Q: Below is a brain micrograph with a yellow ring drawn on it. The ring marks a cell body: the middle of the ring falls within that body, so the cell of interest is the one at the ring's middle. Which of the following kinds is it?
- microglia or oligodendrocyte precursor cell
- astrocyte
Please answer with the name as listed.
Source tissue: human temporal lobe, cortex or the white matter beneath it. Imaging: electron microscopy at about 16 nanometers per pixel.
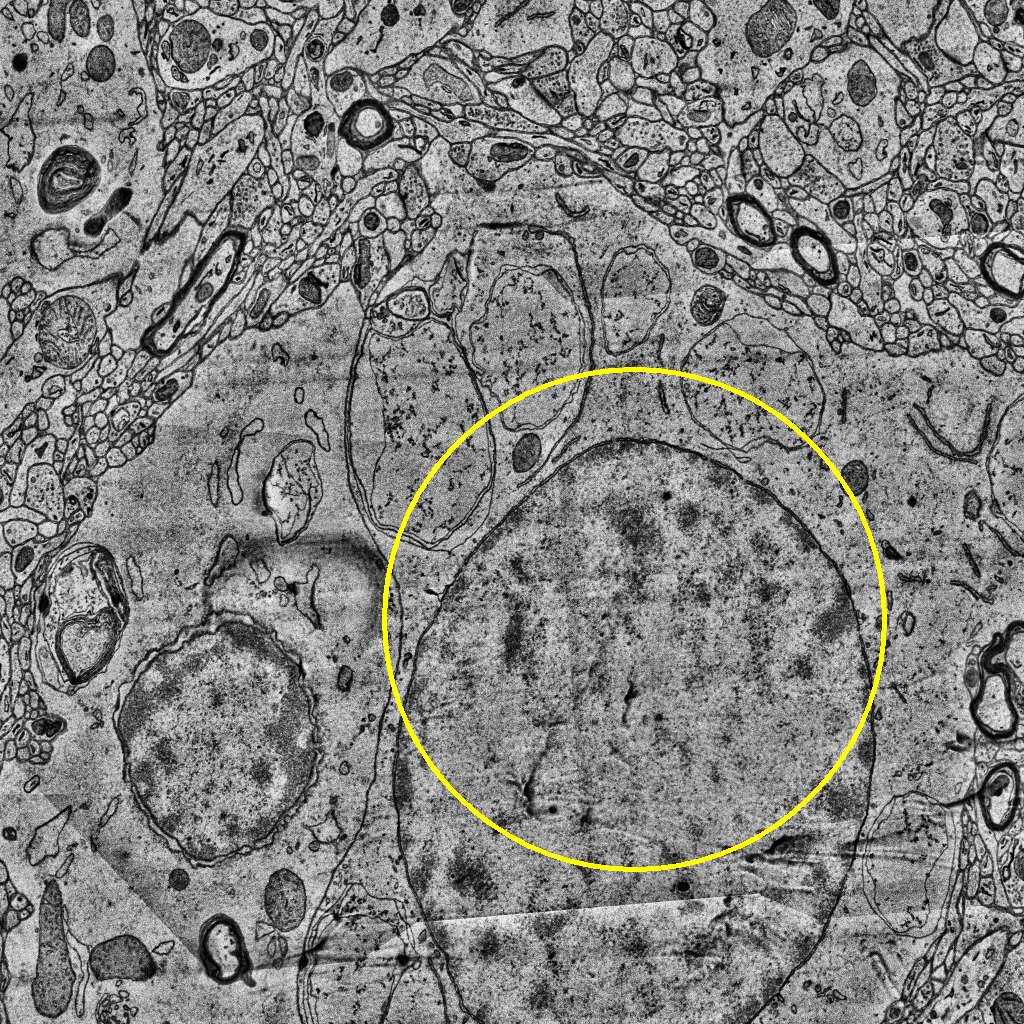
astrocyte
